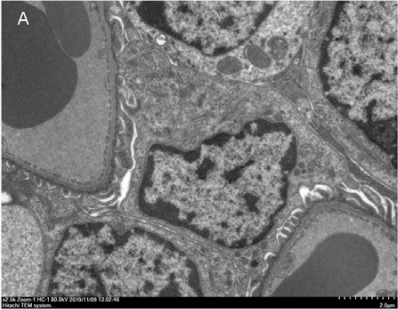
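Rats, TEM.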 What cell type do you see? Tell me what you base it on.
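Podocyte. A large cell with an irregular nucleus with clumped chromatin sits between capillary loops containing red blood cells. Many small processes of the cell rest in a row on the thin basement membrane lining the capillary loops.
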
